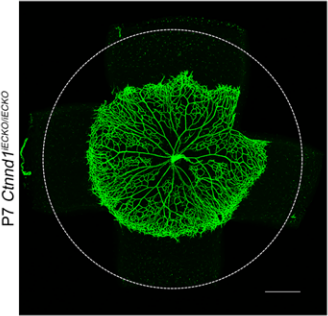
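A flat-mounted retina cut into four lobes shows its superficial vascular network in green. Large vessels radiate from the optic disc at the centre and are linked by a capillary meshwork. The vascularized area forms a roughly round disc that ends well short of the outer margins of the lobes. The rim of this disc has a dense, tufted front of vessels. The outer parts of the lobes are dark and appear without vessels, lying between the vascular front and a dashed circle drawn further out.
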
